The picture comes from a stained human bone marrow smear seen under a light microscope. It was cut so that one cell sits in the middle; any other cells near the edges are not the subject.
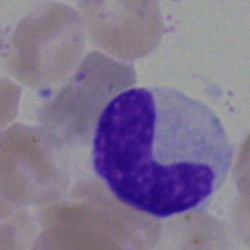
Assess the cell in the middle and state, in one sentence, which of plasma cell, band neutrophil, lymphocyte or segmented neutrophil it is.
Of the cells in this crop, the central one is a band neutrophil.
